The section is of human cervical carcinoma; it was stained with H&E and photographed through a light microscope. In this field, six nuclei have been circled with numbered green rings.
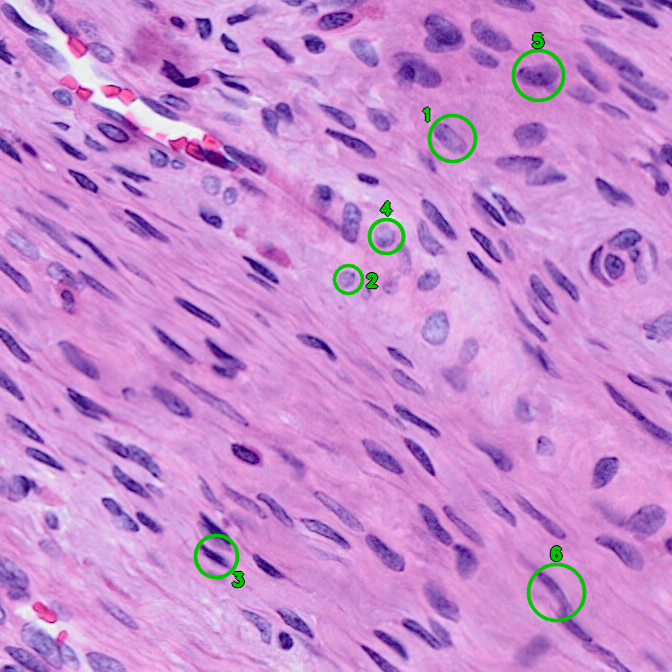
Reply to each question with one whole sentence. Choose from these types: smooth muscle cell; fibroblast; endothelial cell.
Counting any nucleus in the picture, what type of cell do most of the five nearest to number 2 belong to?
The majority of the five nuclei closest to number 2 belong to smooth muscle cells.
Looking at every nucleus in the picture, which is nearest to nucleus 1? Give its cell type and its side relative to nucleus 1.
A fibroblast lies closest, below and to the left of nucleus 1.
